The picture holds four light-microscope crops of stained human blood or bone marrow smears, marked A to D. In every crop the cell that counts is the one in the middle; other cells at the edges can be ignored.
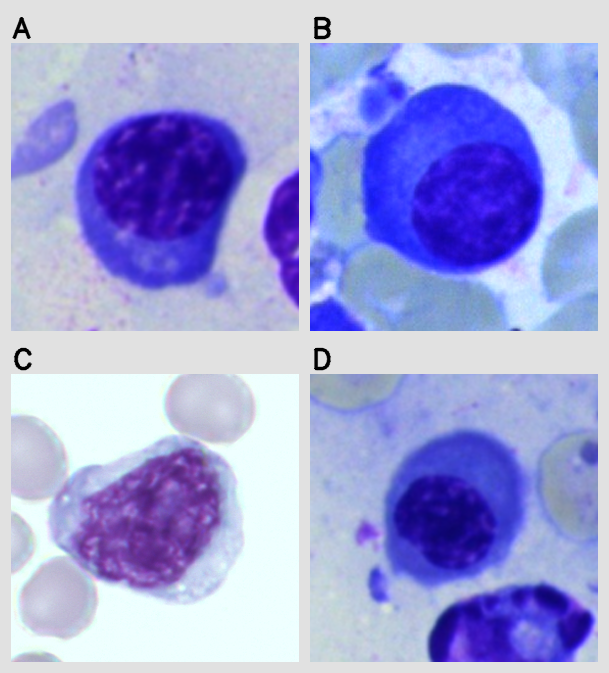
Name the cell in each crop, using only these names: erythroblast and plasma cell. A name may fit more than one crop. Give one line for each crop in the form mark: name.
A: erythroblast
B: plasma cell
C: plasma cell
D: erythroblast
